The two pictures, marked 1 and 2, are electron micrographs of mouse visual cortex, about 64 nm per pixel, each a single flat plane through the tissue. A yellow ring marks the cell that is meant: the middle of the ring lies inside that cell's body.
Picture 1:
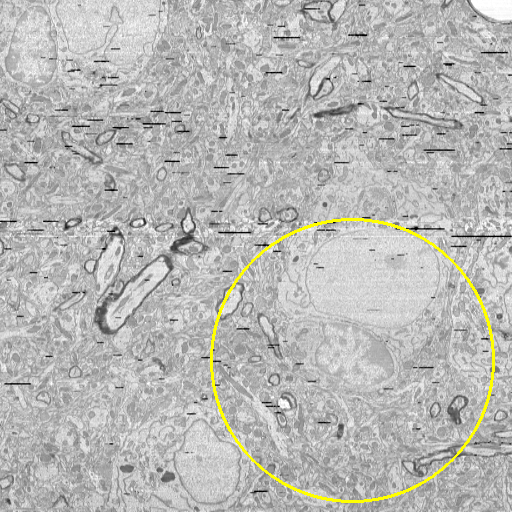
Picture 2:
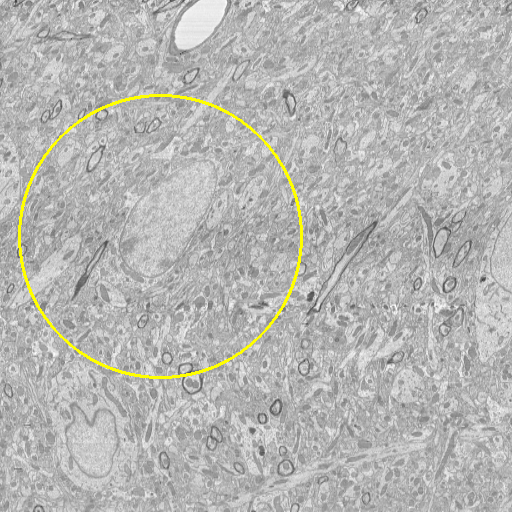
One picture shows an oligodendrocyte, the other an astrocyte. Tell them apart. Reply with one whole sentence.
The cell in picture 1 is an oligodendrocyte, and the one in picture 2 is an astrocyte.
